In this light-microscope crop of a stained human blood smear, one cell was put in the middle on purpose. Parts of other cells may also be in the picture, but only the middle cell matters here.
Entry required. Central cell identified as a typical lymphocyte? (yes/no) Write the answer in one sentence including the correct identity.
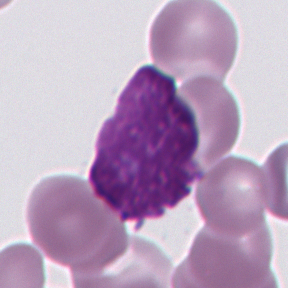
No, a typical lymphocyte is not what the central cell is; it is a smudge cell.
